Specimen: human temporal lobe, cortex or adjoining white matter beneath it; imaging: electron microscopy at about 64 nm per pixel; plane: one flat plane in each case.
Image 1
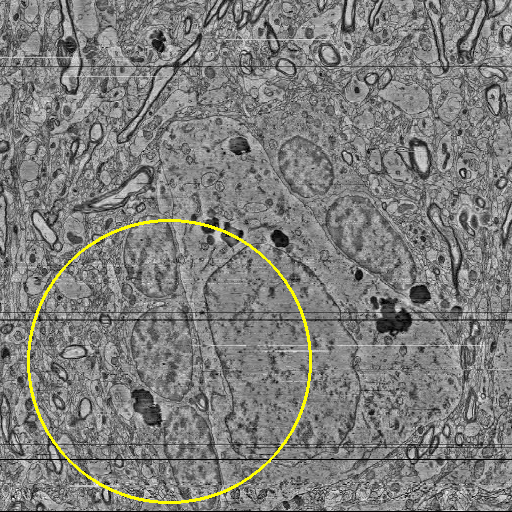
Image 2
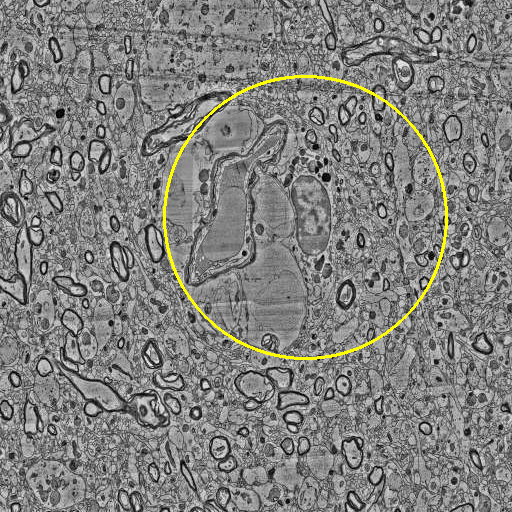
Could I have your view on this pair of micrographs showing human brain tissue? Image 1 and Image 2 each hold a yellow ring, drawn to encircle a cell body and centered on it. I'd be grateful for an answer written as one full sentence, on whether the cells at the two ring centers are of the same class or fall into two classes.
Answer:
The cells at the centers of the two rings fall into two classes.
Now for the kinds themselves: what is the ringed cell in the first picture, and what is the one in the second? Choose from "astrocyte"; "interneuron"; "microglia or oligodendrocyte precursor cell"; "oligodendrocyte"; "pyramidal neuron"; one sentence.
Here the first cell is an oligodendrocyte and the second cell is a microglial cell or oligodendrocyte precursor cell.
